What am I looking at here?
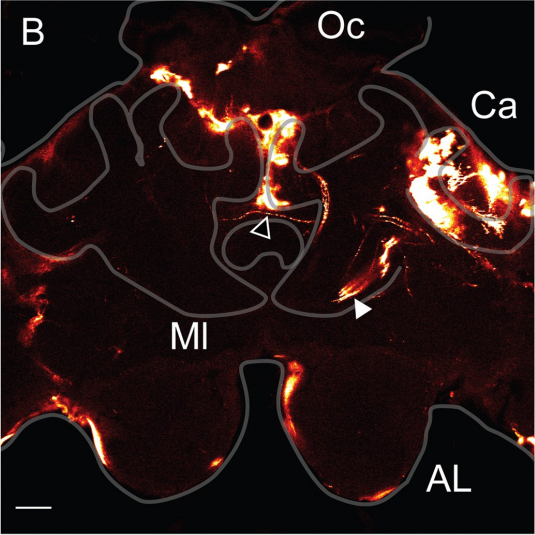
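Thin axons run down from there toward the median lobe, and a single fine axon of another neuron crosses the brain horizontally near the centre. The rest of the neuropil, including the paired antennal lobes below, is mostly dark.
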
